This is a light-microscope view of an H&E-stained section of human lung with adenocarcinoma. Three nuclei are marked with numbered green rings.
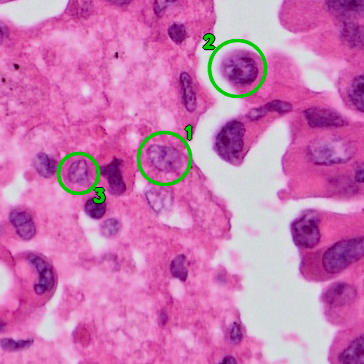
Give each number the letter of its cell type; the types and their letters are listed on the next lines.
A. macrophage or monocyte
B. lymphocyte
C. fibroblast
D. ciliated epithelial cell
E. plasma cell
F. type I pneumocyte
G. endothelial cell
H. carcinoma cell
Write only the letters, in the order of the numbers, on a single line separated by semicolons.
A; H; A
